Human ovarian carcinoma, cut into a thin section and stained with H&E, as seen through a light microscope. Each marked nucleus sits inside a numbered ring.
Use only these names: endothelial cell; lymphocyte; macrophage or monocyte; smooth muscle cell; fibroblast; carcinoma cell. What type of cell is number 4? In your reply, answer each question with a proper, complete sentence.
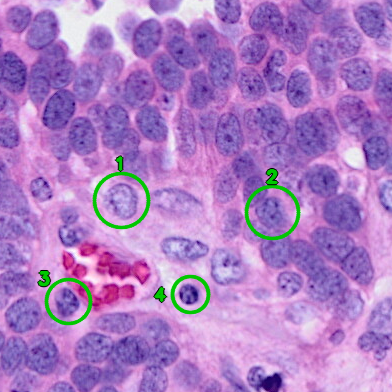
Looking at the numbered marks, cell 4 is a lymphocyte.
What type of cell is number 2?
The cell that is numbered 2 is a carcinoma cell.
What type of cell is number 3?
The cell bearing label 3 corresponds to a macrophage or monocyte.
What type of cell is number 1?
The numbered cell 1 in this field is a fibroblast.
